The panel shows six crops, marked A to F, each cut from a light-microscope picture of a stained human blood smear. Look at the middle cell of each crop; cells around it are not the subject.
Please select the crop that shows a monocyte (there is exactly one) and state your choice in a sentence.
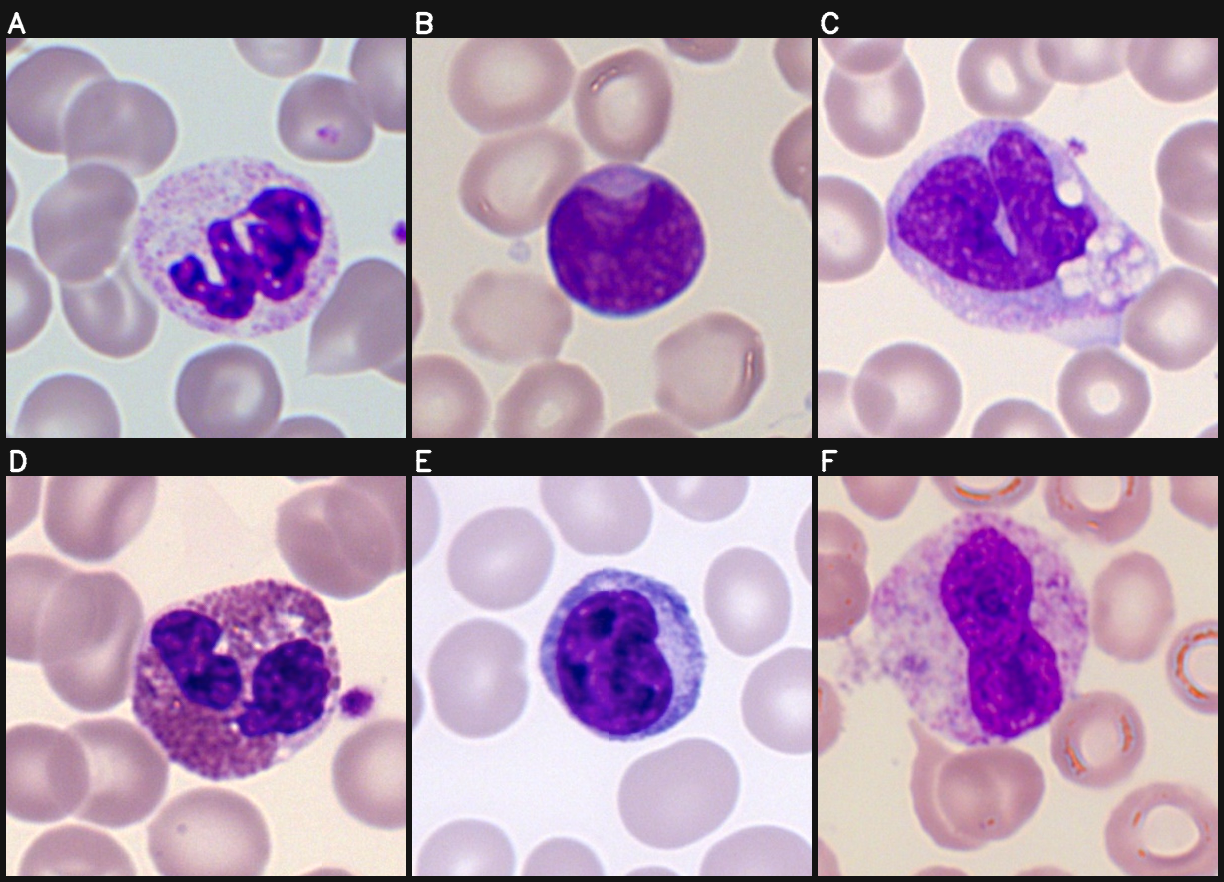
When the crops are compared, crop C is the one showing a monocyte.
